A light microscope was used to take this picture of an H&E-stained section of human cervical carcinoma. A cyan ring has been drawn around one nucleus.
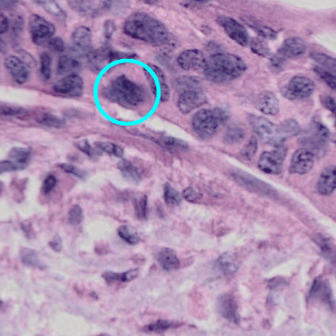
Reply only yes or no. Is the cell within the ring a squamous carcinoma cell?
yes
